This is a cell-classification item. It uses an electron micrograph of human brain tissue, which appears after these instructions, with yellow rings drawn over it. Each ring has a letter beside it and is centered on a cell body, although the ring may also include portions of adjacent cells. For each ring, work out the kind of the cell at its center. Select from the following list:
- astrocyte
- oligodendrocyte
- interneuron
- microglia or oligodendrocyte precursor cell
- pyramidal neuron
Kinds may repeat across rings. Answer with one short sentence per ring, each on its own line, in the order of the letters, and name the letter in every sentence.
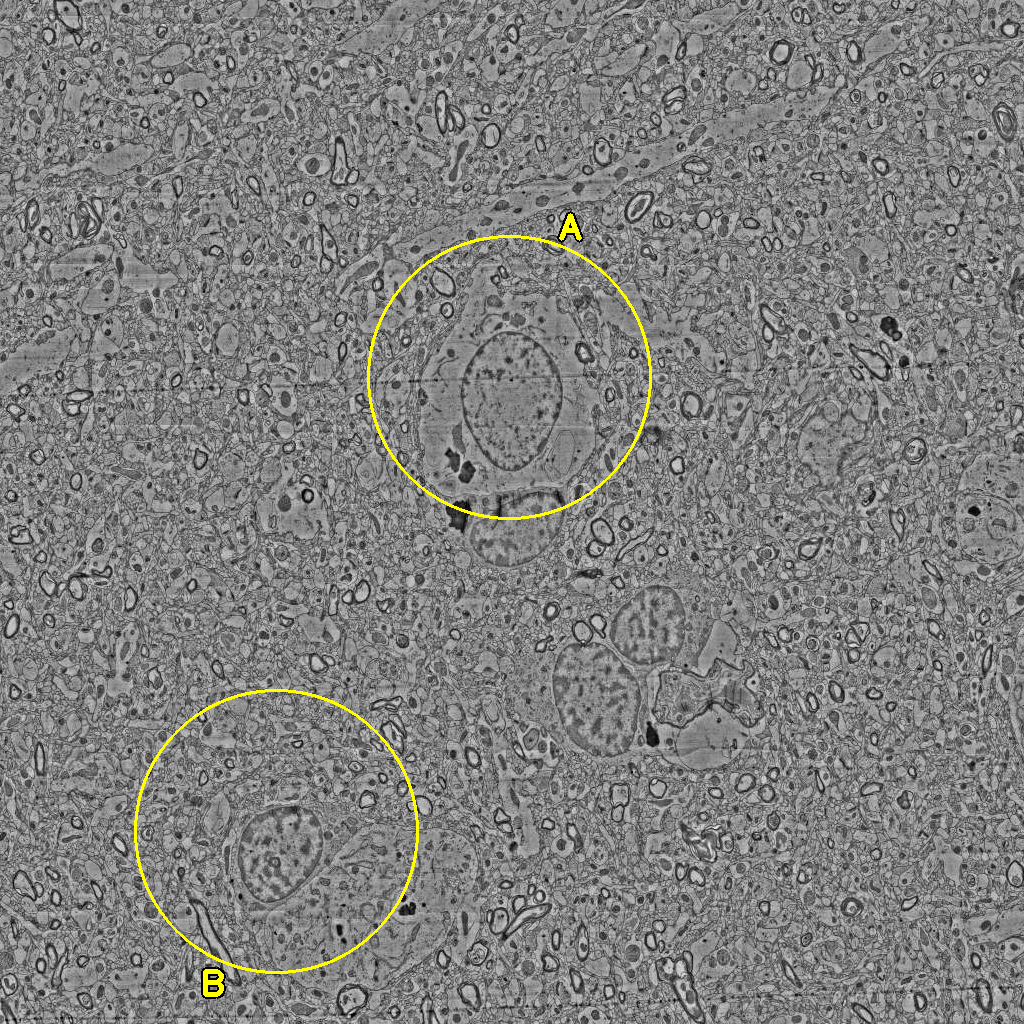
Ring A has an astrocyte at its center.
Ring B has an oligodendrocyte at its center.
